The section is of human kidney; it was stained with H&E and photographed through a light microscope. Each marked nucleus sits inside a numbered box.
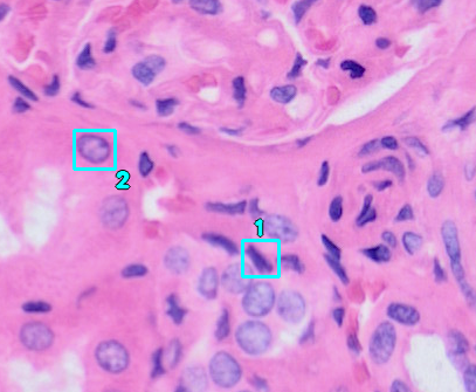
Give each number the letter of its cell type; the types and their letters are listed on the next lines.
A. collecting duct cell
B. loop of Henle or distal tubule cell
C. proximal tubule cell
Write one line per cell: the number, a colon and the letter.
1: A
2: C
